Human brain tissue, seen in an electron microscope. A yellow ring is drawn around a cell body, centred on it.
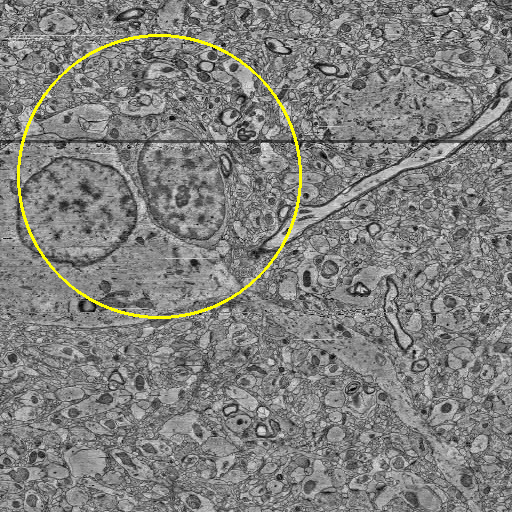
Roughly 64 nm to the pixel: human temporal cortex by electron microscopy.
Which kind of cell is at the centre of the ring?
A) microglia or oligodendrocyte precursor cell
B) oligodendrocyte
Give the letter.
B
